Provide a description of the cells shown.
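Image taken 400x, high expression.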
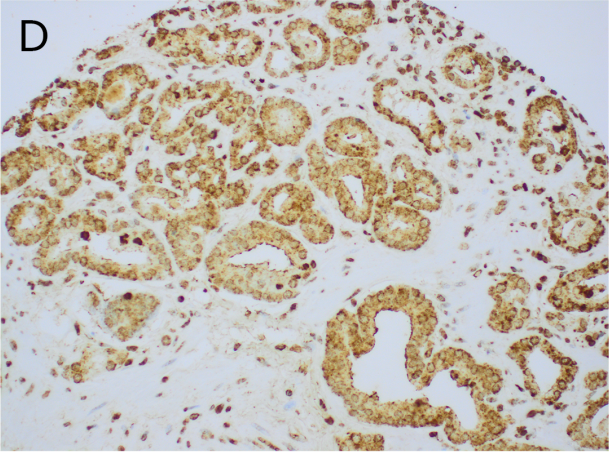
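Irregular glands lined by epithelial cells lie in a loose pale connective tissue, and the epithelial cytoplasm and many nuclei are strongly stained brown. In the stroma between the glands, scattered elongated and oval nuclei of fibroblasts are also stained dark brown.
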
